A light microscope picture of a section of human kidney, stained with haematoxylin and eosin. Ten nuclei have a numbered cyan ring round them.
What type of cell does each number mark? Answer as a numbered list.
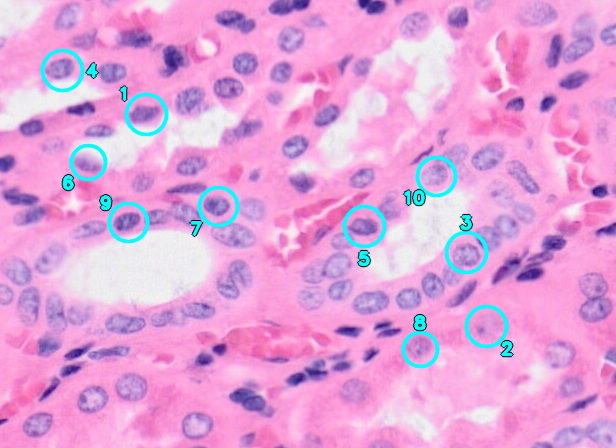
1. loop of Henle or distal tubule cell
2. proximal tubule cell
3. collecting duct cell
4. loop of Henle or distal tubule cell
5. collecting duct cell
6. loop of Henle or distal tubule cell
7. collecting duct cell
8. proximal tubule cell
9. collecting duct cell
10. collecting duct cell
